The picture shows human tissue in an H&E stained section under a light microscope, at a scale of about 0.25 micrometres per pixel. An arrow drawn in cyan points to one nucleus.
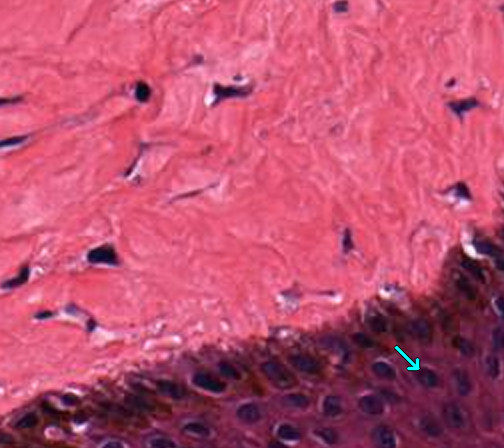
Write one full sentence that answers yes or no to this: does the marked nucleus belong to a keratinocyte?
Yes, it is a keratinocyte that holds the marked nucleus.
